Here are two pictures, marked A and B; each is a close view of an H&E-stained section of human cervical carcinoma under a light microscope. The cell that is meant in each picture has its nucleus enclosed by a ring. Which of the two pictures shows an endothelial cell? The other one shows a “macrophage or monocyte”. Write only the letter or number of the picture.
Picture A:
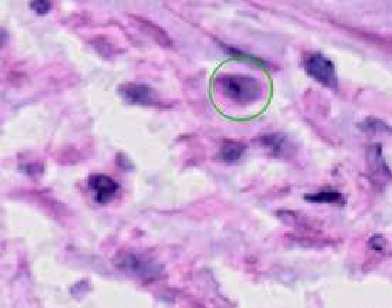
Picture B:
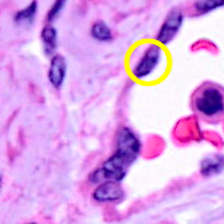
B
